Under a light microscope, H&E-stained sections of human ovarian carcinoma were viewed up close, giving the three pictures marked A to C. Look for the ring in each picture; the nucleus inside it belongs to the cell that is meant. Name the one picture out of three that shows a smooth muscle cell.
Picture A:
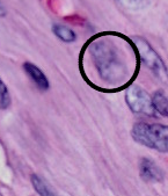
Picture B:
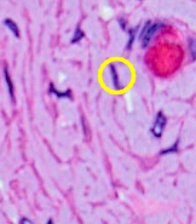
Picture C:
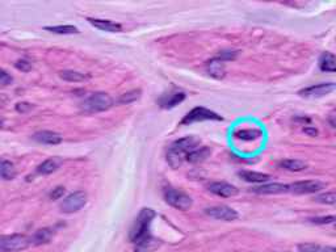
C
